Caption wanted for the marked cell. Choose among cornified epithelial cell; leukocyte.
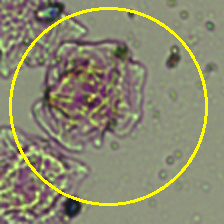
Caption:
Ringed in yellow is a cornified epithelial cell.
